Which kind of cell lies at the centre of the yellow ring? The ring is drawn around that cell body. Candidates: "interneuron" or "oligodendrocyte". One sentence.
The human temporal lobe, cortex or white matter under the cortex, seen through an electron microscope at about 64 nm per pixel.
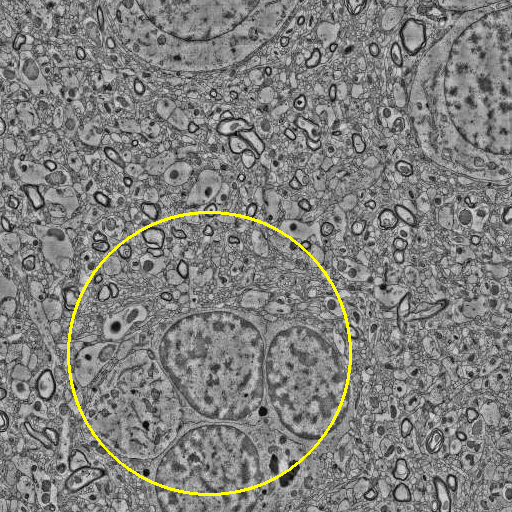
Lying at the centre of the ring is an oligodendrocyte.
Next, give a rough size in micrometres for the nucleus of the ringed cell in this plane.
Roughly 7 micrometres by 6 micrometres, in this plane.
